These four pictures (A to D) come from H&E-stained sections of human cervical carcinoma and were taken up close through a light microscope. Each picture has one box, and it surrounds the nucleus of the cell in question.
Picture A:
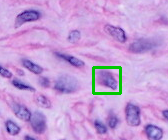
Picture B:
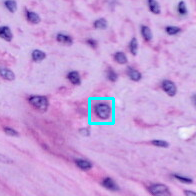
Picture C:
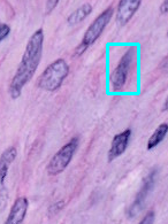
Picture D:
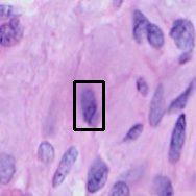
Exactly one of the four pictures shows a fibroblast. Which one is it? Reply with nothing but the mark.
D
